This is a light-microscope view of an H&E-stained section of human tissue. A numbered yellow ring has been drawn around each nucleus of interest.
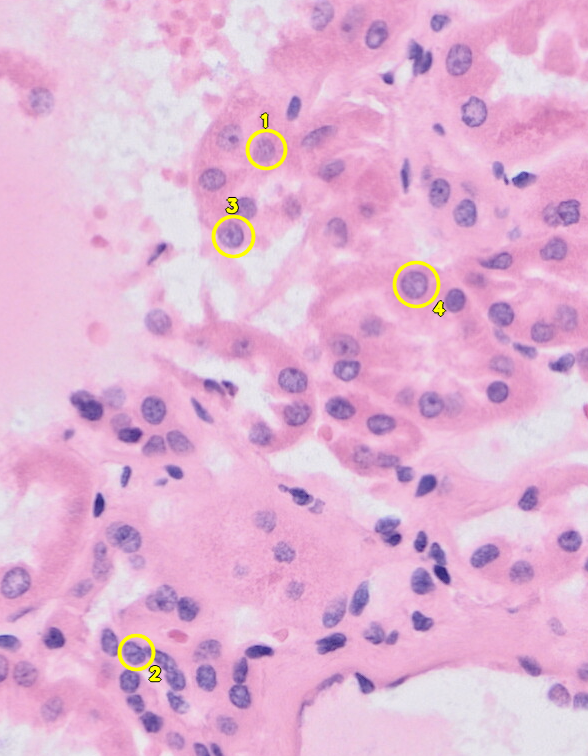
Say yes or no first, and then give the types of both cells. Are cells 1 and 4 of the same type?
Yes, as for cells 1 and 4, both are proximal tubule cells.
